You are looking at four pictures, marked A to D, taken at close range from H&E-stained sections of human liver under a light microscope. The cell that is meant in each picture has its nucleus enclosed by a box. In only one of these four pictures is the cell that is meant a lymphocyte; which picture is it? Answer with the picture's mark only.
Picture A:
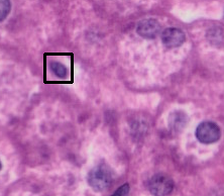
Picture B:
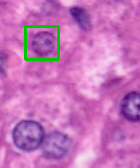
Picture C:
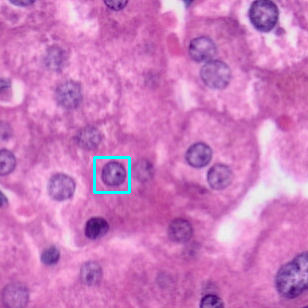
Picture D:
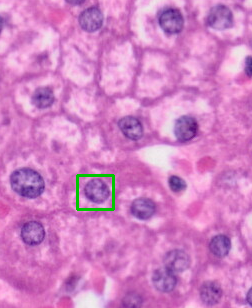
A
